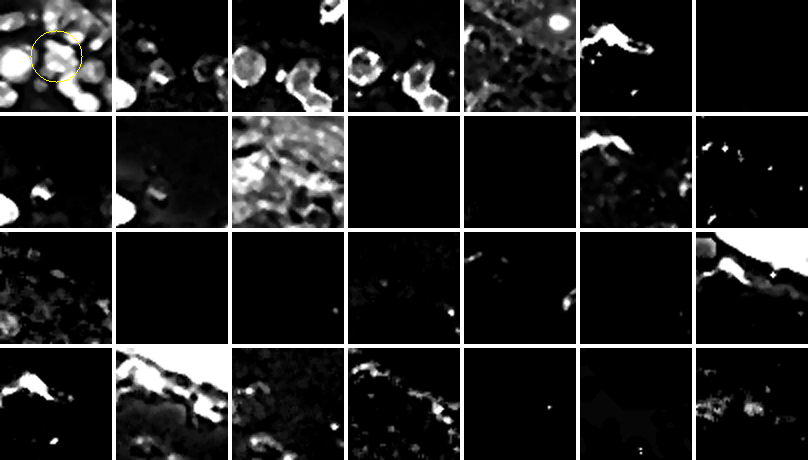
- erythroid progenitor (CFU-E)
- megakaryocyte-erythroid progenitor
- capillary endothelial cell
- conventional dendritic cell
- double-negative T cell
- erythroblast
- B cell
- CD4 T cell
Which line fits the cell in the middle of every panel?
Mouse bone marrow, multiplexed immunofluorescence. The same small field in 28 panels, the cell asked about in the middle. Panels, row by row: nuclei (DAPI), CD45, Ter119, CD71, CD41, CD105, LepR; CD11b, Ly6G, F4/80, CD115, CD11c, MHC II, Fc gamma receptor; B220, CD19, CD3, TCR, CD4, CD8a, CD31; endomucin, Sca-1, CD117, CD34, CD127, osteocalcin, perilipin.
capillary endothelial cell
